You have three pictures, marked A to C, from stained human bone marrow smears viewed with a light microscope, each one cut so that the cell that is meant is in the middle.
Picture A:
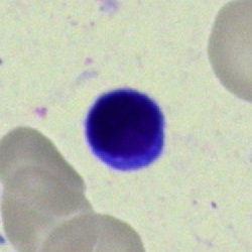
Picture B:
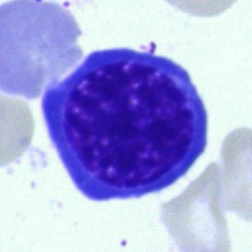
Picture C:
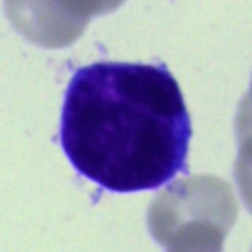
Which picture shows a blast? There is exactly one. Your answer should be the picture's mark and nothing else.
C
